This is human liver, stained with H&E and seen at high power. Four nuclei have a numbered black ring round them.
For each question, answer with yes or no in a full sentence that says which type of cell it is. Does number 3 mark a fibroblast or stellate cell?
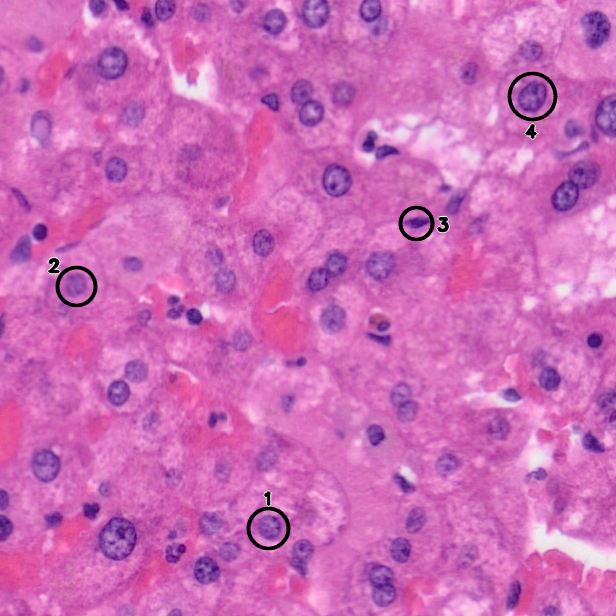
Yes, the cell that bears the number 3 is a fibroblast or stellate cell.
